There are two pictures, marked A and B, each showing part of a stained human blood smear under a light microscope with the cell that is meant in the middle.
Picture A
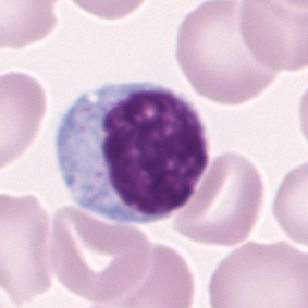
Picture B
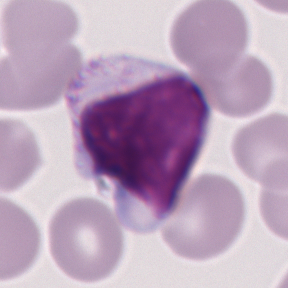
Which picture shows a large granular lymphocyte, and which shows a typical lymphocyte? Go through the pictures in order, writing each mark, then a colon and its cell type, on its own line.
A: typical lymphocyte
B: large granular lymphocyte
